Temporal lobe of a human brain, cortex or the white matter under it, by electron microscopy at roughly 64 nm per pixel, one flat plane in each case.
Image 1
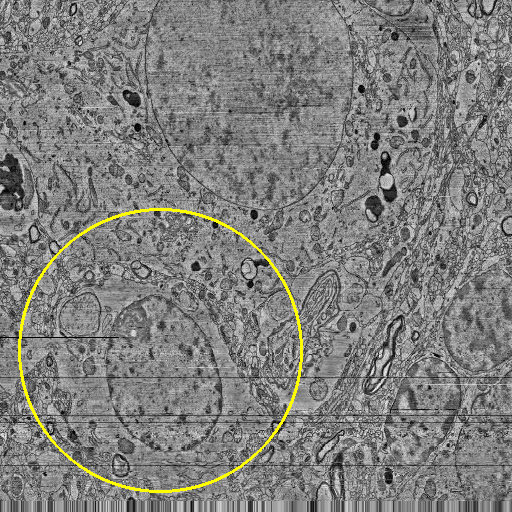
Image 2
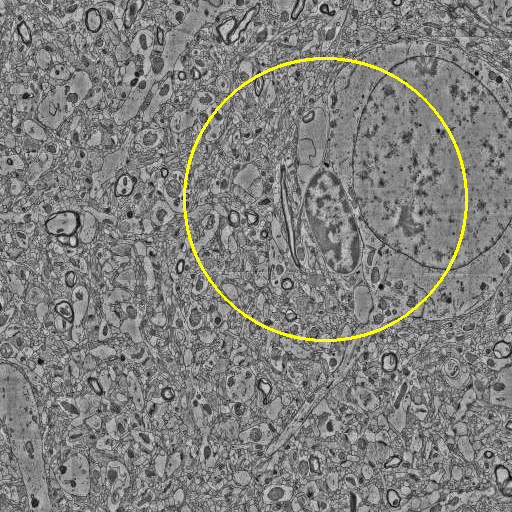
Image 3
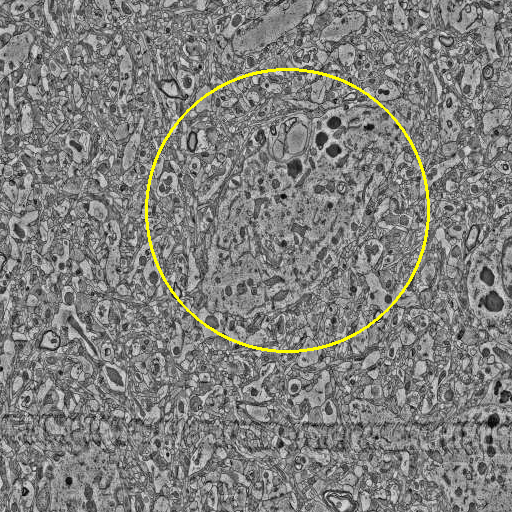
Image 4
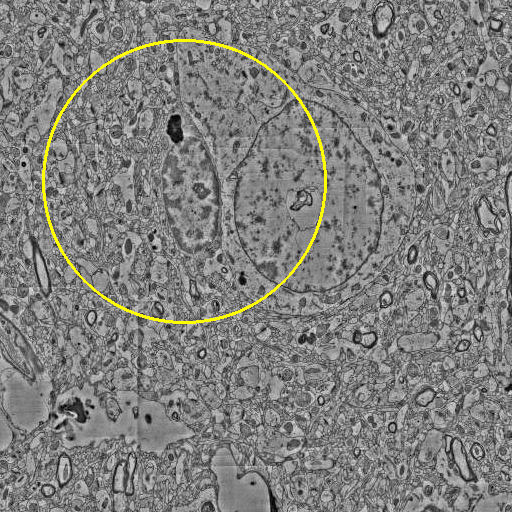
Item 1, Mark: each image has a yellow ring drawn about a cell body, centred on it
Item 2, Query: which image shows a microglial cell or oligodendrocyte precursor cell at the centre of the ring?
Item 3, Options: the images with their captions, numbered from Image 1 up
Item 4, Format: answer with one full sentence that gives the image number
My answer is image 2, where the cell at the ring's centre fits.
